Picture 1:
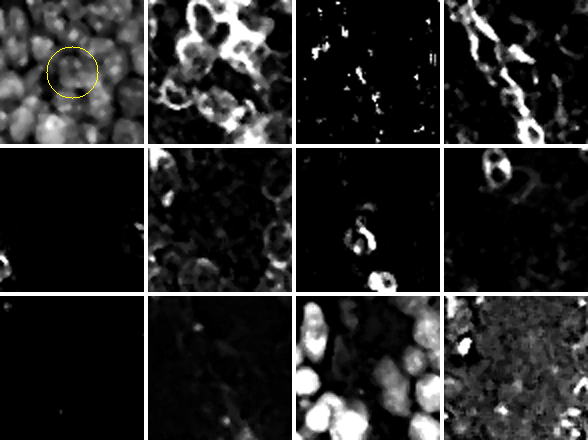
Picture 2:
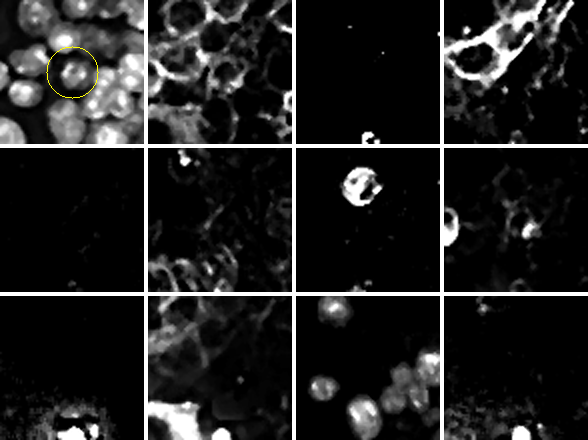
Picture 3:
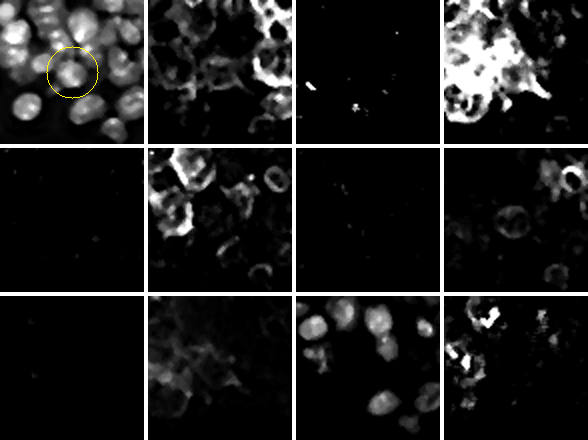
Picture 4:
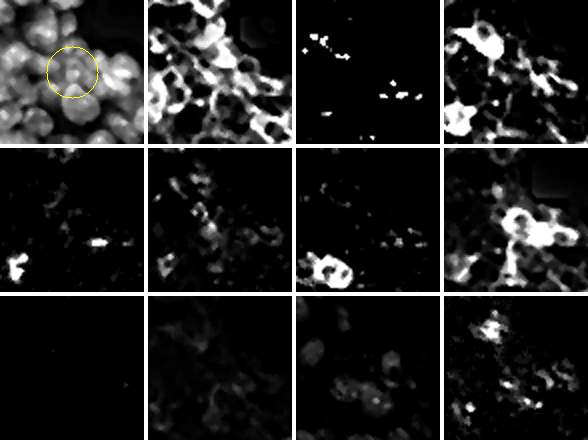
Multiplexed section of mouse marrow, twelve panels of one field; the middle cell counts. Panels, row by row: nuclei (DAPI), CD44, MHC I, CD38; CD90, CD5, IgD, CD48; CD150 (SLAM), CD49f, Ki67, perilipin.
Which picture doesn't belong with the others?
Picture 4.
